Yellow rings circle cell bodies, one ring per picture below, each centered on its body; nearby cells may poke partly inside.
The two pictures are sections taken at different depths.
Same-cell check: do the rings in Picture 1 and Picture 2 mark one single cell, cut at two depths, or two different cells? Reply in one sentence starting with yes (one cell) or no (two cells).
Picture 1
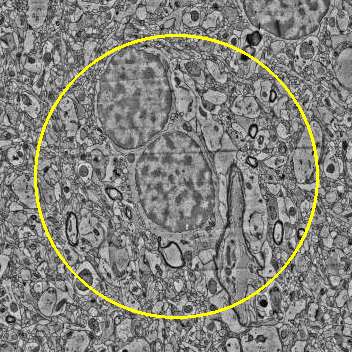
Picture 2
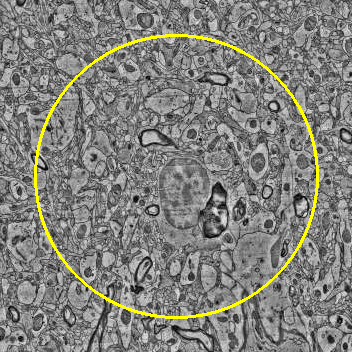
Yes, the two marked outlines come from one and the same cell.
